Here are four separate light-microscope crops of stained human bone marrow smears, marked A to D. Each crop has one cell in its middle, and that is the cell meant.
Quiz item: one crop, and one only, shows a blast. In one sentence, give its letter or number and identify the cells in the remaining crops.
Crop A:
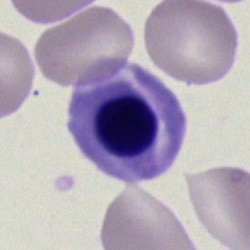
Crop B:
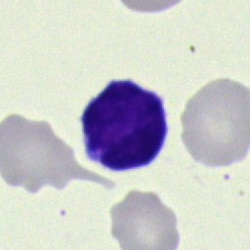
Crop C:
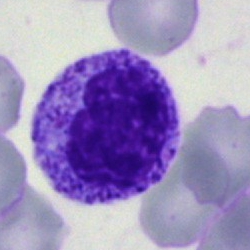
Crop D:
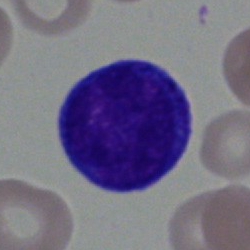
For crop D the cell is a blast, while crop A is an erythroblast, crop B is a lymphocyte and crop C is a myelocyte.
